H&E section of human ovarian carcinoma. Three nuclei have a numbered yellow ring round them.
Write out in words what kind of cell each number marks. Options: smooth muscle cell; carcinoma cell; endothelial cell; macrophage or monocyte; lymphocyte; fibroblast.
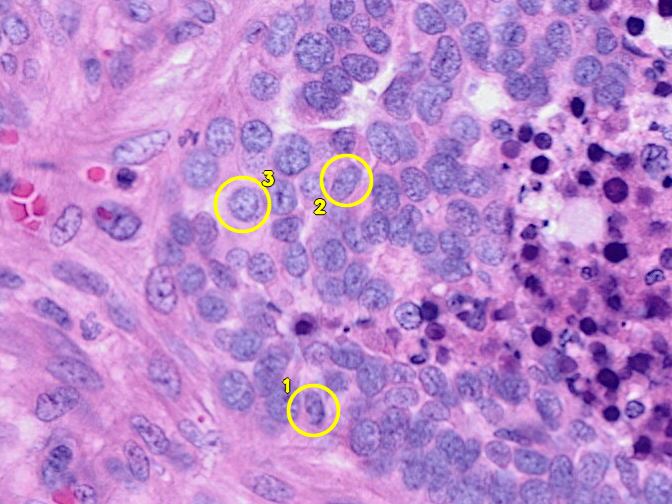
Cell 1 is a macrophage or monocyte, cell 2 is a carcinoma cell and cell 3 is a carcinoma cell.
